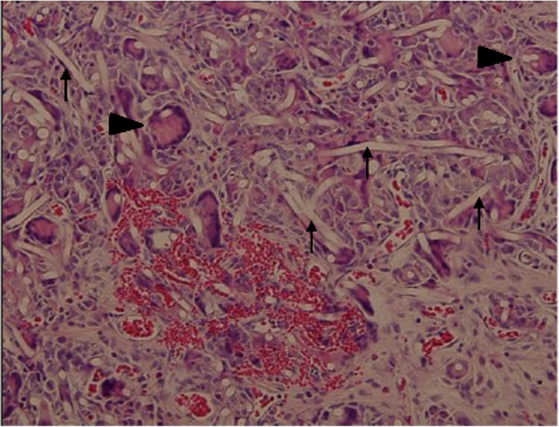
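Cellular tissue invading a fiber mat, with pale, elongated and cross-cut fiber profiles scattered among densely packed spindle and rounded cells with purple nuclei. Several very large cells with abundant pink-purple cytoplasm sit against the fibers. Small channels and a larger pool packed with bright red blood cells lie throughout, showing new vessels.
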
